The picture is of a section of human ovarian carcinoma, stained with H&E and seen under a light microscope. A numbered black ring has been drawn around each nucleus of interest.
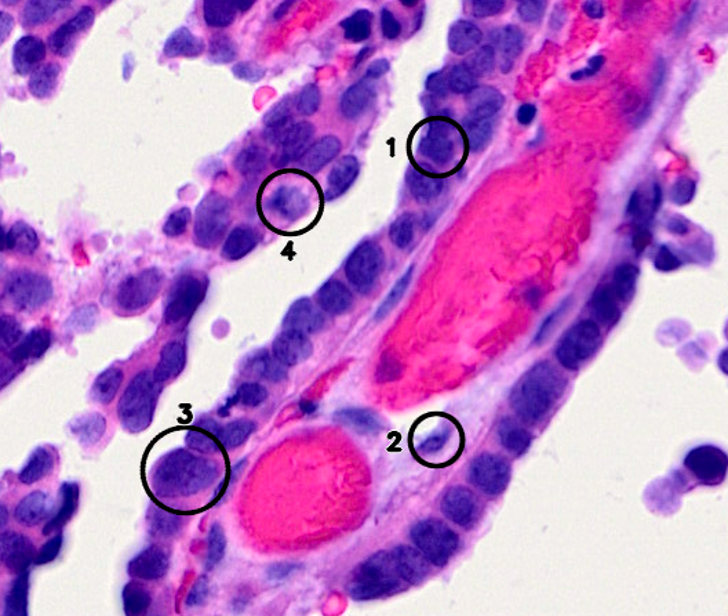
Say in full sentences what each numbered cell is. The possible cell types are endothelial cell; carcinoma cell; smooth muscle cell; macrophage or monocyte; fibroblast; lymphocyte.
Cell 1 is a carcinoma cell, cell 2 is a fibroblast, cell 3 is a carcinoma cell and cell 4 is a macrophage or monocyte.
